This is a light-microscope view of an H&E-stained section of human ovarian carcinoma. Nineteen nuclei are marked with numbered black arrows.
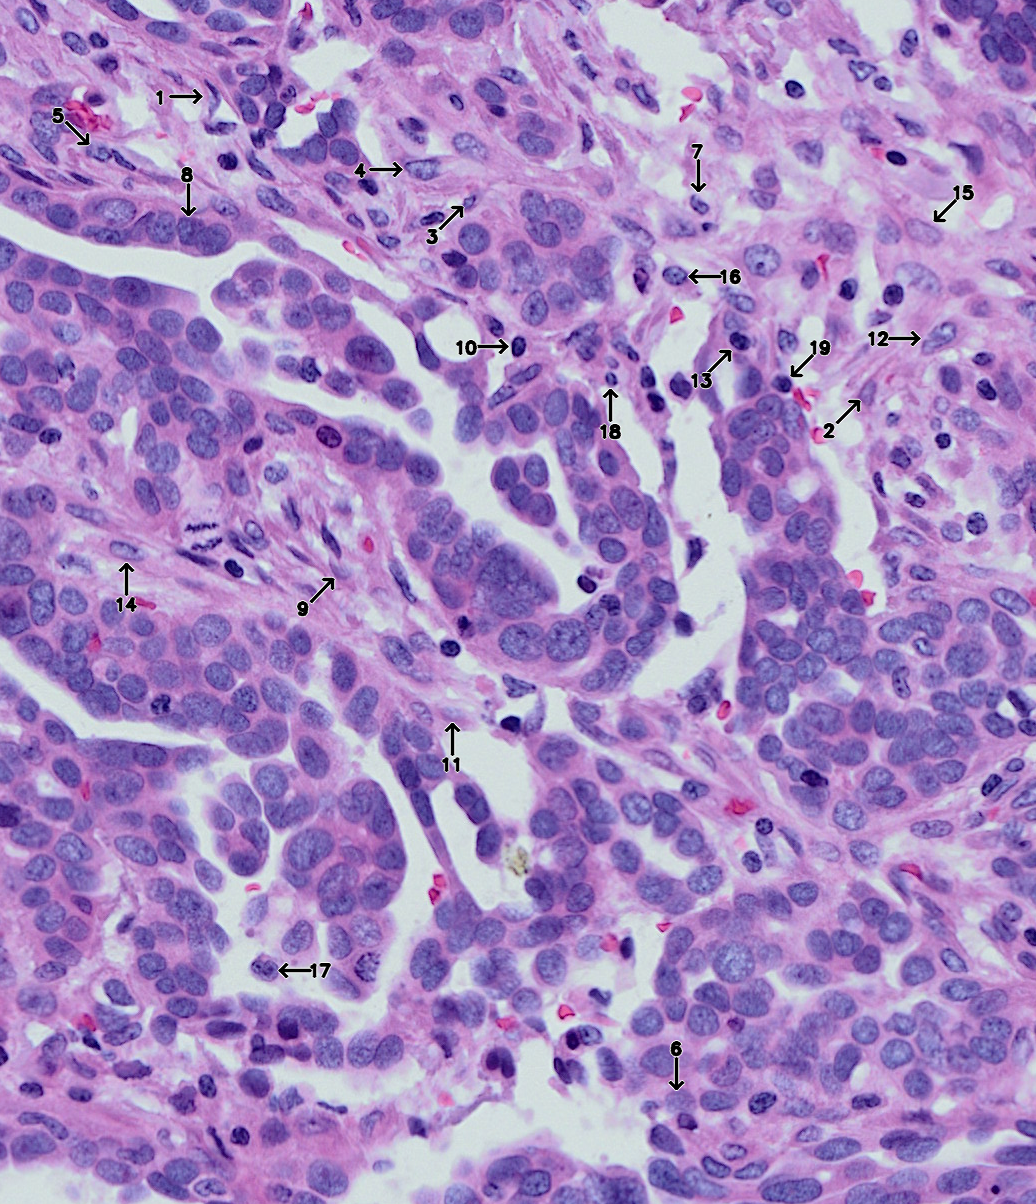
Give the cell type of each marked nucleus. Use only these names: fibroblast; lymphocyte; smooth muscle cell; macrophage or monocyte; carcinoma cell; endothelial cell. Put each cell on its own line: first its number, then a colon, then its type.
1: fibroblast
2: fibroblast
3: fibroblast
4: fibroblast
5: fibroblast
6: carcinoma cell
7: lymphocyte
8: carcinoma cell
9: fibroblast
10: lymphocyte
11: fibroblast
12: fibroblast
13: lymphocyte
14: fibroblast
15: fibroblast
16: macrophage or monocyte
17: macrophage or monocyte
18: lymphocyte
19: lymphocyte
